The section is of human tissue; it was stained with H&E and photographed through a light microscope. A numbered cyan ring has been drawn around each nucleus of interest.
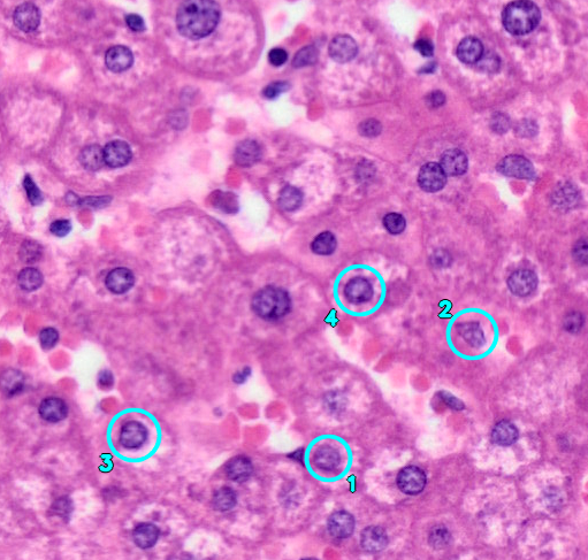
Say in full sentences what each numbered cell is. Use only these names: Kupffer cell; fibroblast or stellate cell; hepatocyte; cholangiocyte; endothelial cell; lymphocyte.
Cell 1 is a hepatocyte, cell 2 is an endothelial cell, cell 3 is a hepatocyte and cell 4 is a hepatocyte.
